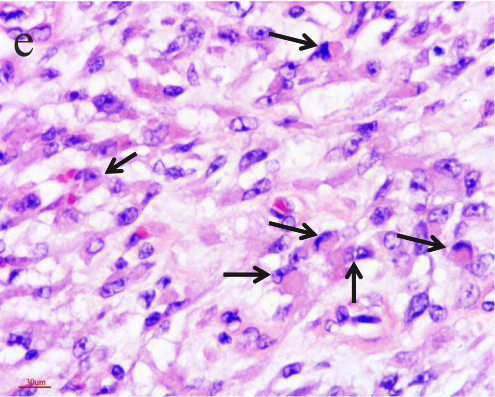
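This high-power view of a spindle cell tumor shows loosely cohesive rhabdoid tumor cells among oval to spindle-shaped cells. The rhabdoid cells have eccentric, dark nuclei pushed aside by round, glassy pink cytoplasmic inclusions. The surrounding tumor cells have oval vesicular nuclei, some with small nucleoli, and pale to clear, vacuolated cytoplasm. The cells lie apart from each other rather than forming cohesive sheets.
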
